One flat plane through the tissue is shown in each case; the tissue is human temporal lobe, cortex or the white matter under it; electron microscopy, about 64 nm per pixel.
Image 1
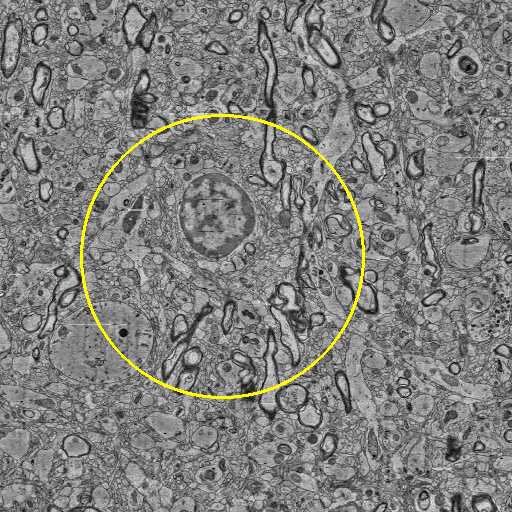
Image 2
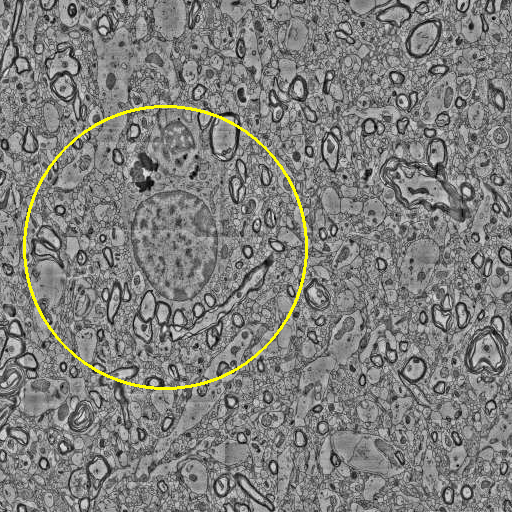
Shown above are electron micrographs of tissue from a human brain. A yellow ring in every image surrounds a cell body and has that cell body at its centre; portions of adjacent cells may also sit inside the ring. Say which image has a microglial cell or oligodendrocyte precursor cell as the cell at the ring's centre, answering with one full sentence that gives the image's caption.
The image whose ring is centred on the requested cell is Image 1.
